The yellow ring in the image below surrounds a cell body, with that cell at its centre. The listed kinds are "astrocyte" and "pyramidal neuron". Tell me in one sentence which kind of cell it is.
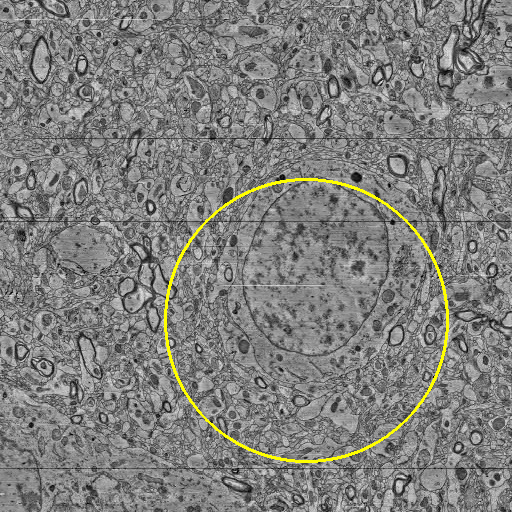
The centre of the ring holds a pyramidal neuron.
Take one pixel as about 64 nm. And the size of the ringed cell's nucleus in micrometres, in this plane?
In this plane the nucleus spans approximately 12 by 10 micrometers.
